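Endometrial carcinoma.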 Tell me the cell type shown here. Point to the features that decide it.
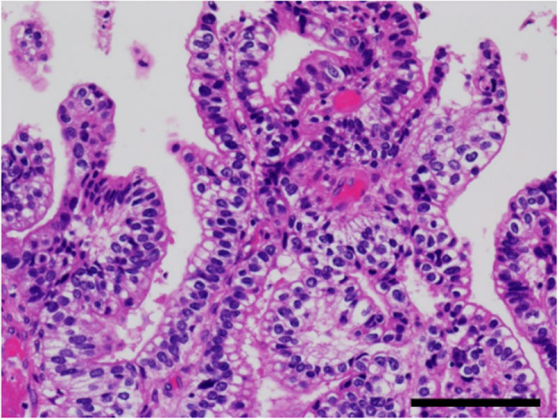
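Tall columnar neoplastic cells with clear cytoplasms and large nuclei. Epithelium lining papillae is made of tall columnar cells. Cytoplasm of many cells is pale to clear. Nuclei are large, oval and dark, some stratified.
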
